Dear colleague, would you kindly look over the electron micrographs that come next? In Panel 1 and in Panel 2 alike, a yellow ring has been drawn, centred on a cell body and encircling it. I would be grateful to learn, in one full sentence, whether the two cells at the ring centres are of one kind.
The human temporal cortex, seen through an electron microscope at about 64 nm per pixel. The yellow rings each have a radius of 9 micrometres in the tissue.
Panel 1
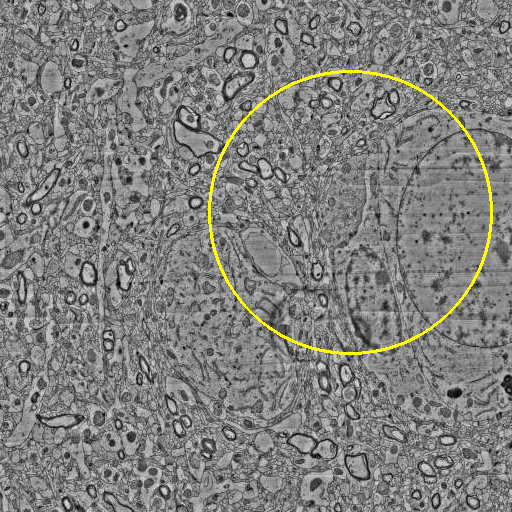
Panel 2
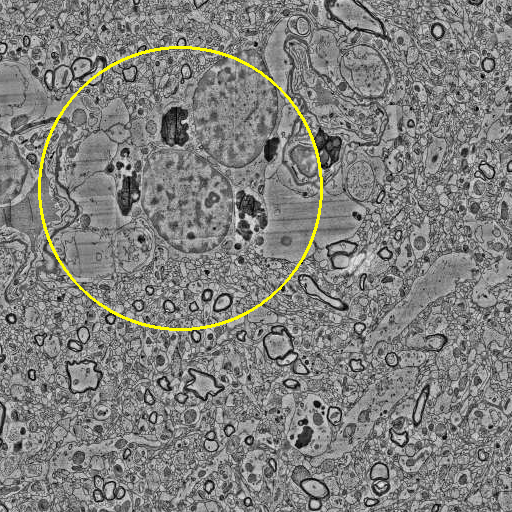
Yes, the cells in the middle of the rings in the two panels are of one kind.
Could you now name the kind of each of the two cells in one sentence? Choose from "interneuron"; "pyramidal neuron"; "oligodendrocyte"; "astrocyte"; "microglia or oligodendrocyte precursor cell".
Both pictures show an oligodendrocyte at the centre of the ring.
